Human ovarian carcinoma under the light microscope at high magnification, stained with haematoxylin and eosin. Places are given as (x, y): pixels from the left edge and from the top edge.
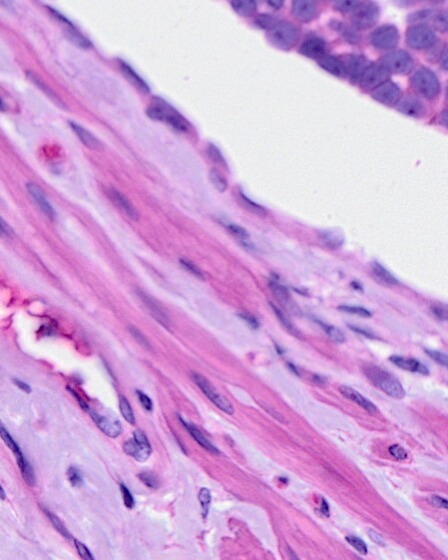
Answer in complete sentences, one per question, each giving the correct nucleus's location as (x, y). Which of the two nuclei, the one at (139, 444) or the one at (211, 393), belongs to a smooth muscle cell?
Answering which nucleus it is: the one at (211, 393), belonging to a smooth muscle cell.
